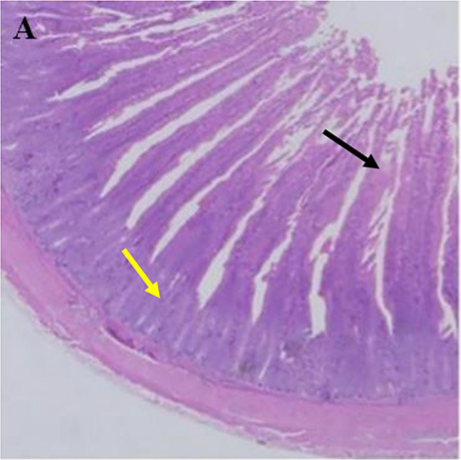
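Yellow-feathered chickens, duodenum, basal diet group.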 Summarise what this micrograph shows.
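This is a cross-section of the wall of the small intestine, cut so that the mucosa radiates like spokes toward the central lumen. Long, slender villi, stained purple, stand side by side separated by narrow clear spaces, and some of their tips are frayed toward the lumen. At the base of the mucosa the tissue becomes a denser, darker purple zone of crypts lying just inside the wall. Outside this lies a smooth pink band of muscle, with a thin outer covering.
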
